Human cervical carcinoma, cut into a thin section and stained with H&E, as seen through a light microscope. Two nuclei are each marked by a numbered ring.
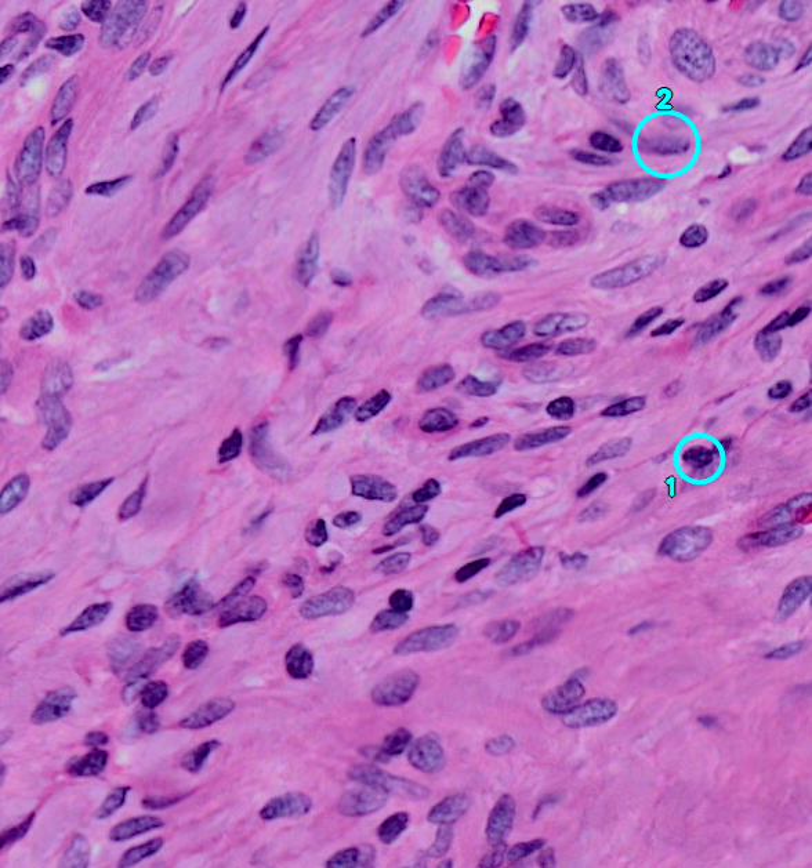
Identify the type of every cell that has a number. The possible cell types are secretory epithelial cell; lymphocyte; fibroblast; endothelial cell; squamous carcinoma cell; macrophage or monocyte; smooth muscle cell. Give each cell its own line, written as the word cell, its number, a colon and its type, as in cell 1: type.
cell 1: lymphocyte
cell 2: fibroblast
